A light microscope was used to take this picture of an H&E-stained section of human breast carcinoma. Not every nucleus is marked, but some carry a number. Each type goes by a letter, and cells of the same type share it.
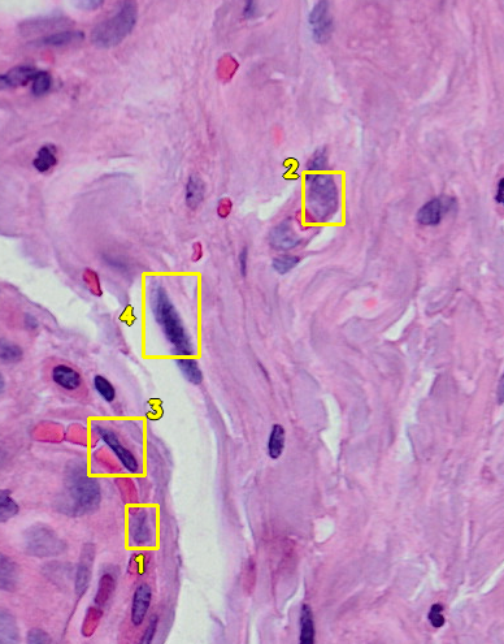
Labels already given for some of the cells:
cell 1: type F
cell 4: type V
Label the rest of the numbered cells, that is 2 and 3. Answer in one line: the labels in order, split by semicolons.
type F; type F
